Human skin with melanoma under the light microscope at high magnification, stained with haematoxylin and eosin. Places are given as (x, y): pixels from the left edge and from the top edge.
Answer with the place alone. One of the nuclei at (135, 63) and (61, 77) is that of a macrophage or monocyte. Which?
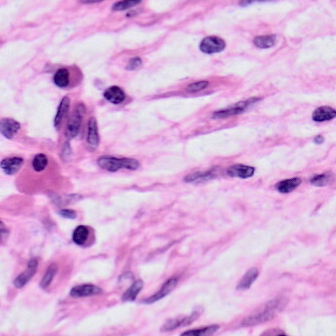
(135, 63)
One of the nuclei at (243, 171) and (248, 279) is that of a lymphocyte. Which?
(243, 171)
